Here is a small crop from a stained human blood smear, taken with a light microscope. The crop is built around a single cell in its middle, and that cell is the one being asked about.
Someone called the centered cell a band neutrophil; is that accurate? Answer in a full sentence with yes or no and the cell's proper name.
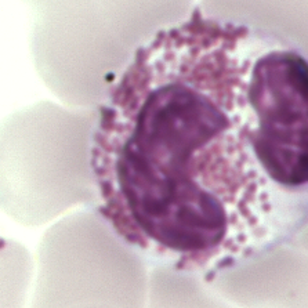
No, this one is an eosinophil; it is not a band neutrophil.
